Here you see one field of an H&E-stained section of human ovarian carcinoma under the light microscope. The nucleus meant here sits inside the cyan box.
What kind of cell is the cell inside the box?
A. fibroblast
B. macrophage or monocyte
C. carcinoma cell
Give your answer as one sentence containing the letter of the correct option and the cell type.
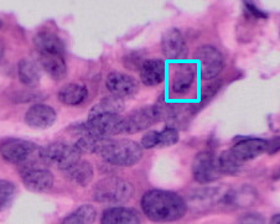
Best answer: option C, with the cell inside the box being a carcinoma cell.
